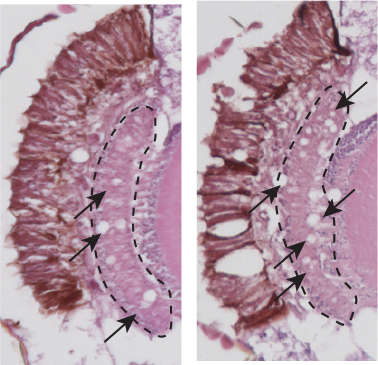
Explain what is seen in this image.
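Two sections of the retina are shown side by side, each a curved band of elongated, radially arranged units carrying dense brown pigment, with a pale pink neural layer lying beneath it toward the brain. In both, the pink layer enclosed by a dashed line is riddled with round, clear, unstained holes of varying size, several pointed out by arrows. In the right-hand section the holes appear more numerous and the pigmented layer is more broken up, with gaps between its units. Beyond the pink layer lies a more uniformly stained pink neuropil.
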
